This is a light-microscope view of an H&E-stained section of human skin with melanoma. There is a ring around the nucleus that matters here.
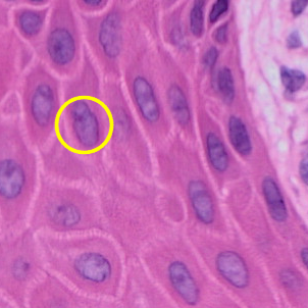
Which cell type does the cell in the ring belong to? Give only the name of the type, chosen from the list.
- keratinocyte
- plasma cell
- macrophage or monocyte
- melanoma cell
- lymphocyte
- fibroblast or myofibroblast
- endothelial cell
keratinocyte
